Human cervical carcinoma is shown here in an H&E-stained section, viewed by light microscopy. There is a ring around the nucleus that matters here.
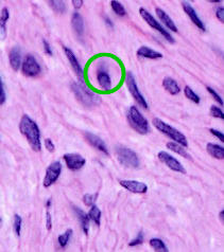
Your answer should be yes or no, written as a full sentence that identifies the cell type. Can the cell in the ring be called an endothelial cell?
No, the cell in the ring isn't an endothelial cell; it is a fibroblast.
